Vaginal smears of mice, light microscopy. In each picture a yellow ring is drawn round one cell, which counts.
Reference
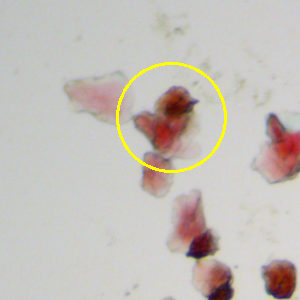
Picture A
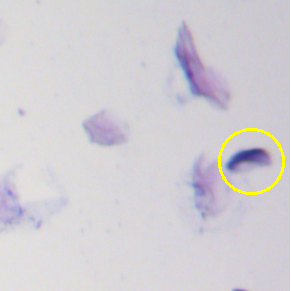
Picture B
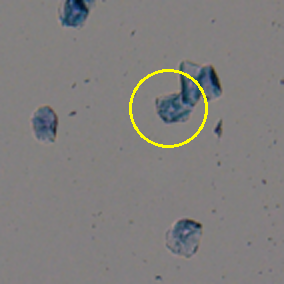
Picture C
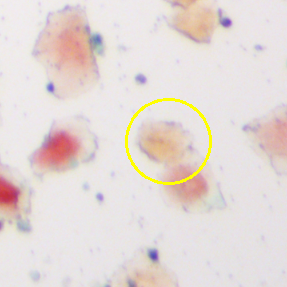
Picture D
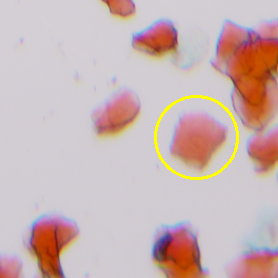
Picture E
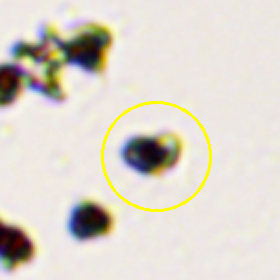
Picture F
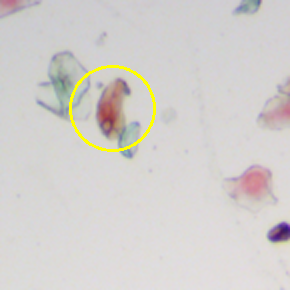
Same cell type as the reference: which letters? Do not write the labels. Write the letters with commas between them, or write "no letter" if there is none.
A, B, C, D, F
